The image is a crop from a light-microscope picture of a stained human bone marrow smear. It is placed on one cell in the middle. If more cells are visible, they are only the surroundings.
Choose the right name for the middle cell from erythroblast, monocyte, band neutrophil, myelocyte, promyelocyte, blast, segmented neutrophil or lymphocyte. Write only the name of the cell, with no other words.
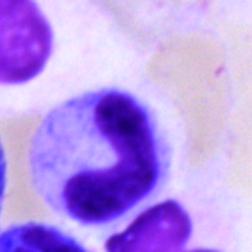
band neutrophil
